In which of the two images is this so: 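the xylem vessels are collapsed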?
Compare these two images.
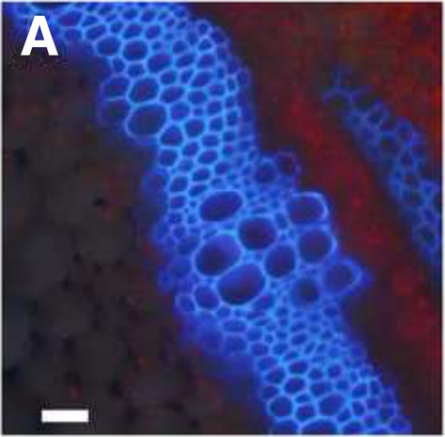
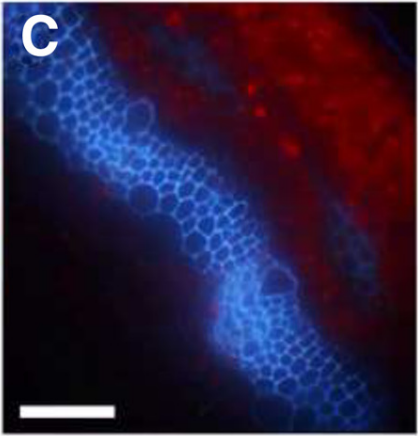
The second image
